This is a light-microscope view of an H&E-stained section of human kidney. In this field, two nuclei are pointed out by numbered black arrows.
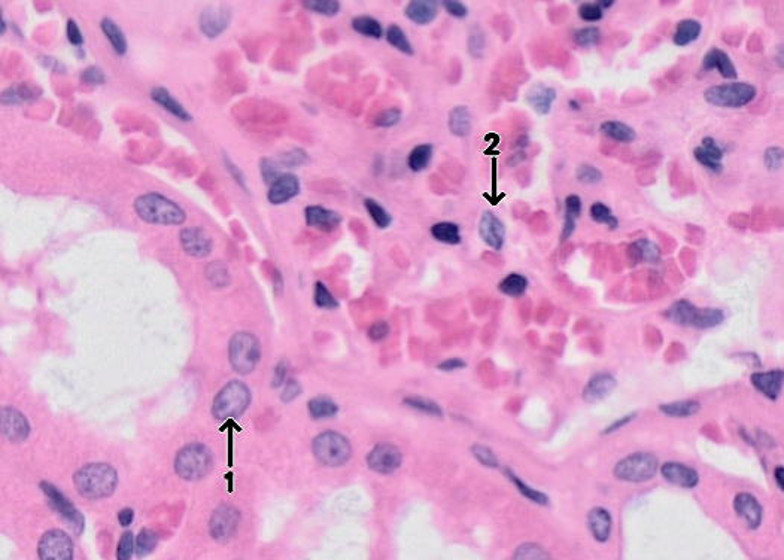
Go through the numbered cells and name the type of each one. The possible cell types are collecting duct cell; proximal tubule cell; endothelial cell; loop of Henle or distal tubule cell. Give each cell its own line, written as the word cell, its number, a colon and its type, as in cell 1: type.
cell 1: proximal tubule cell
cell 2: endothelial cell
